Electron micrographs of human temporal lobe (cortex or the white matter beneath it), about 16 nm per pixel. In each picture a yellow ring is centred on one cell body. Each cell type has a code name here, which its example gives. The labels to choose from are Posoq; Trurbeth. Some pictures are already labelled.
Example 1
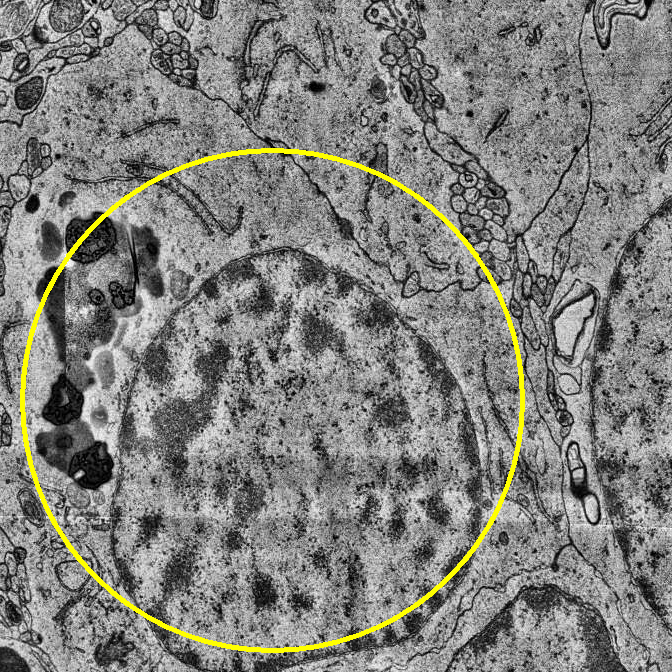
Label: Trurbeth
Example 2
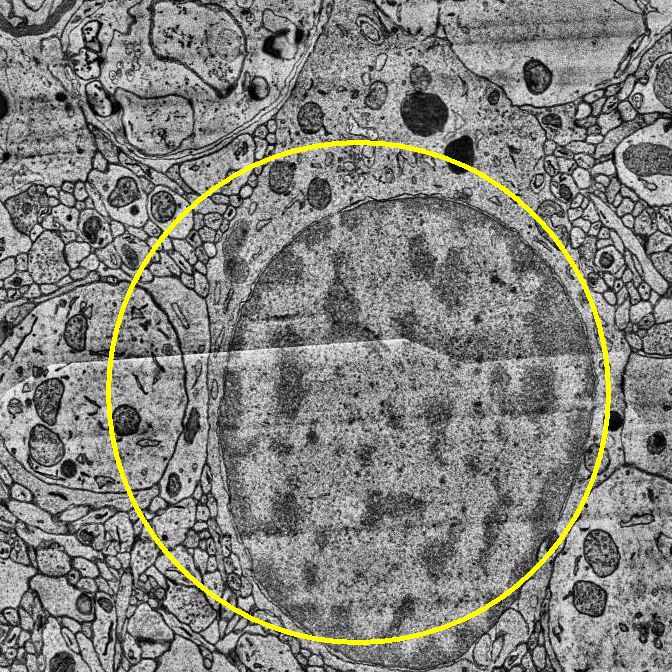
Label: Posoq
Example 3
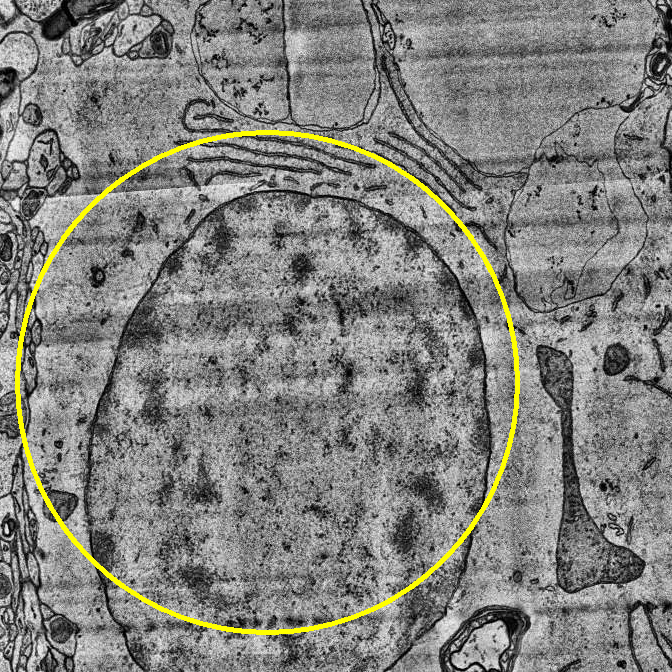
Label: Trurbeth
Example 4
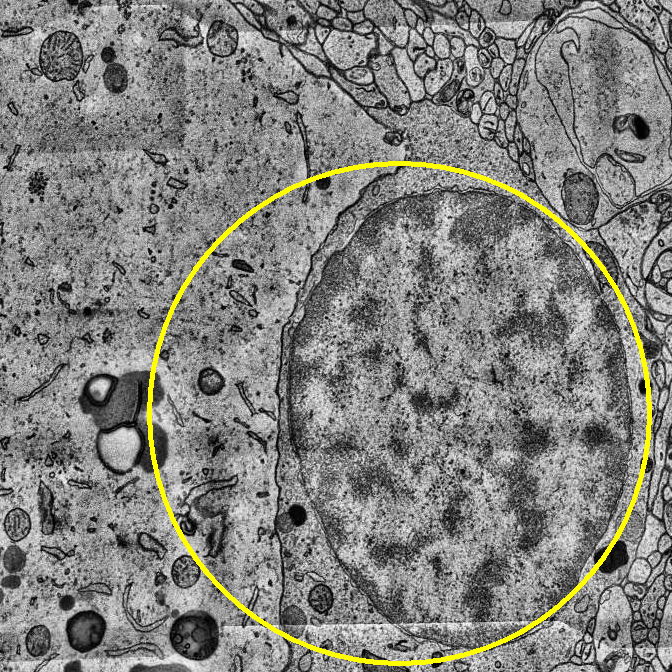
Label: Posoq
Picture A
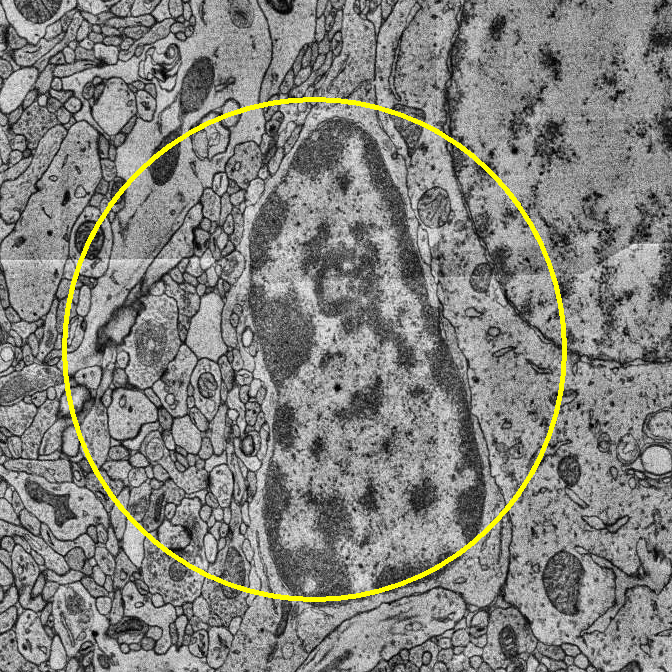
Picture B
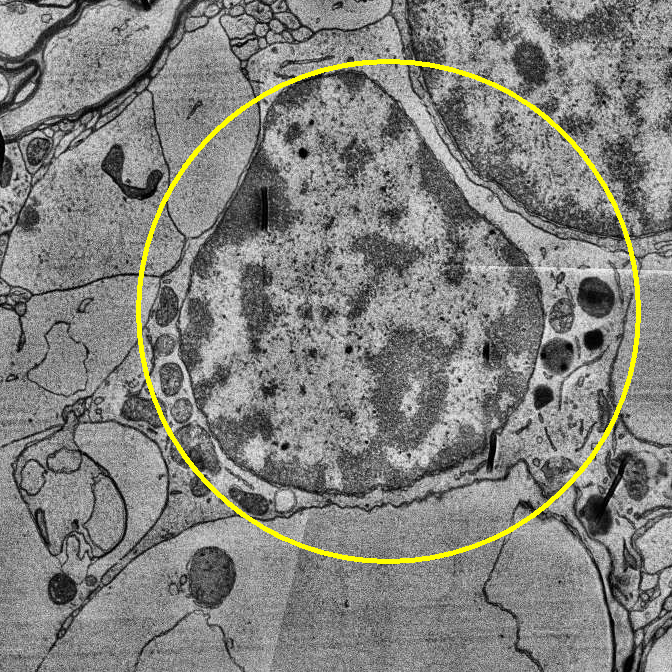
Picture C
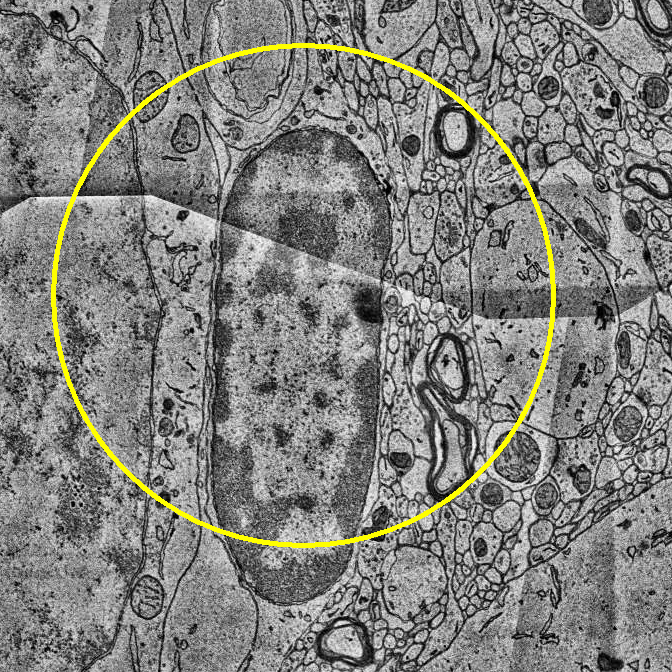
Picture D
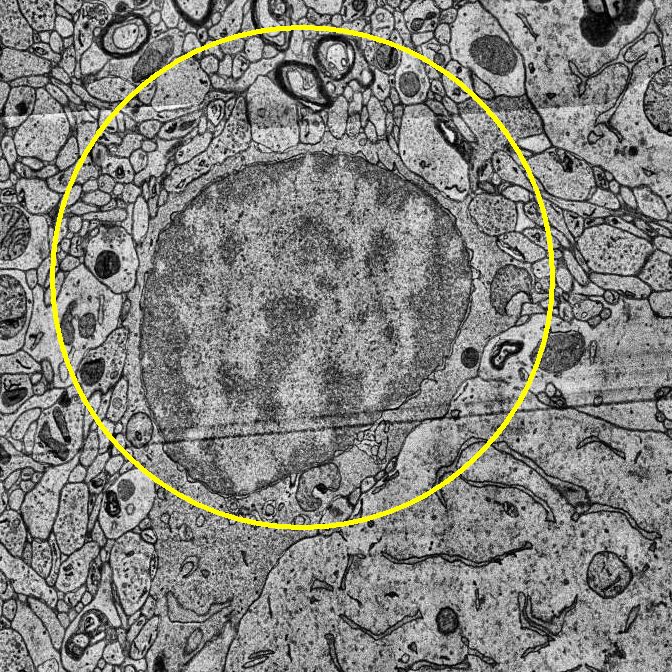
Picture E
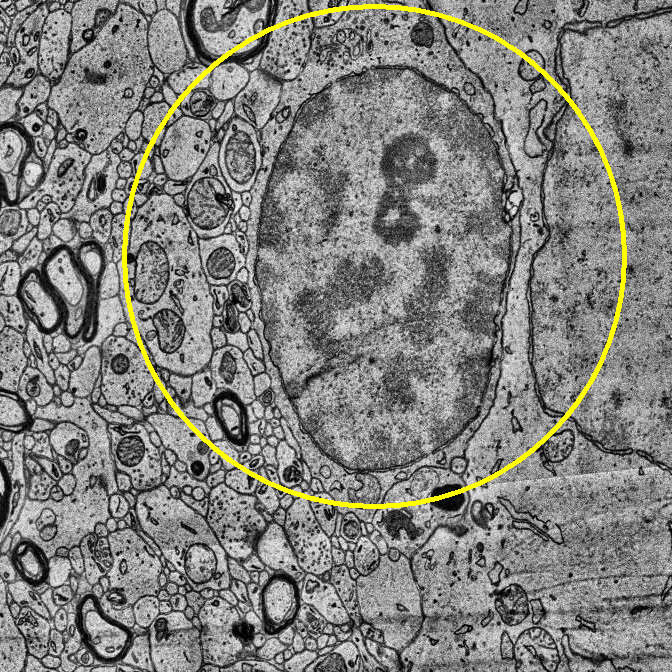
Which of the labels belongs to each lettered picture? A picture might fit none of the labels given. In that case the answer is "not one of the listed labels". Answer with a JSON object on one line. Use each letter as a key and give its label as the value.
{"A": "not one of the listed labels", "B": "not one of the listed labels", "C": "not one of the listed labels", "D": "Posoq", "E": "Posoq"}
